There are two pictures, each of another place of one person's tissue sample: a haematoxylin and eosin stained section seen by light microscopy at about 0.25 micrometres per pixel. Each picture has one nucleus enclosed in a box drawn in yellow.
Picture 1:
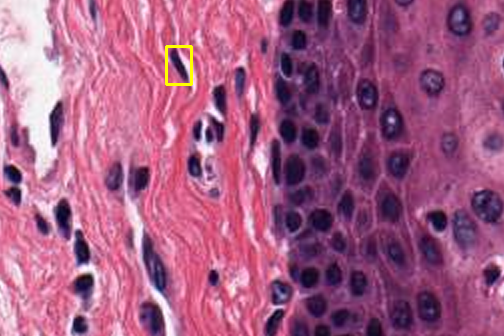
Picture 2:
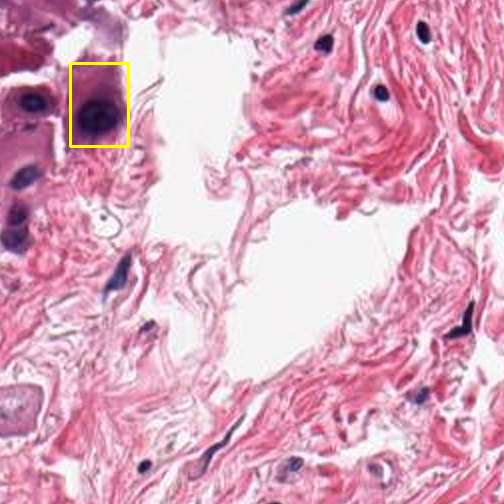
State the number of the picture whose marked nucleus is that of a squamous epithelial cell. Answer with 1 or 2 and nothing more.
2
